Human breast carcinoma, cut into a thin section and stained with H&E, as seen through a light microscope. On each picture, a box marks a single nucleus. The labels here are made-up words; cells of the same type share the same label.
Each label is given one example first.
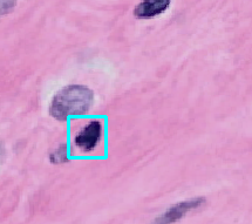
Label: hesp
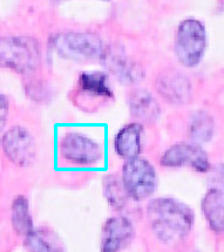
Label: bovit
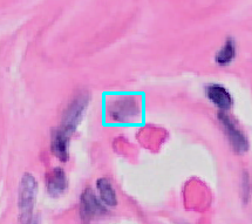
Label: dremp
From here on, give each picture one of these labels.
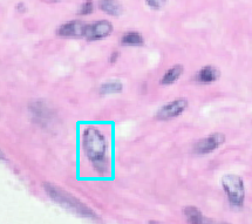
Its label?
dremp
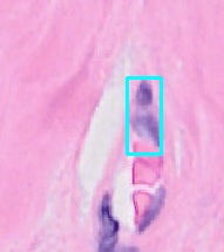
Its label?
dremp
